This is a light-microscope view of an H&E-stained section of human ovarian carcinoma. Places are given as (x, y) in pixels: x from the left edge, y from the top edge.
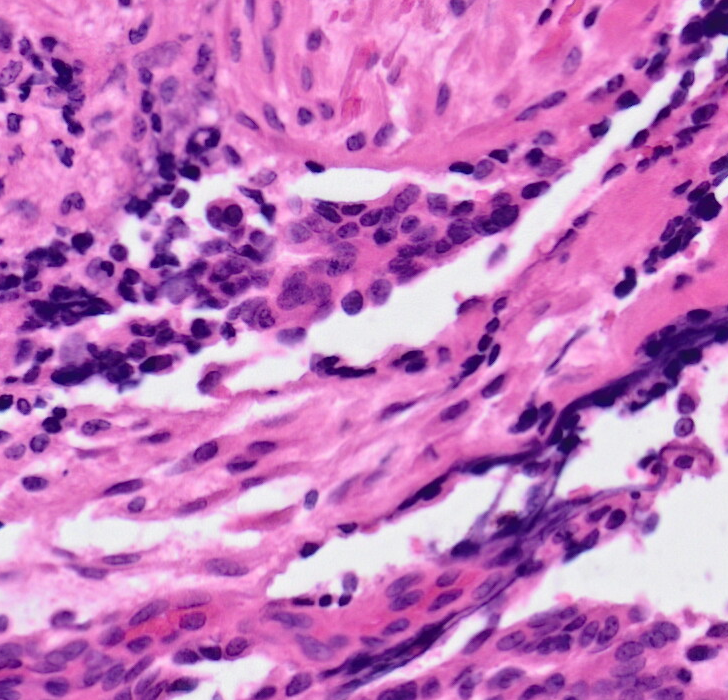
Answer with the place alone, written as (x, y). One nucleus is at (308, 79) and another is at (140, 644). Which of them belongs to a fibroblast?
(308, 79)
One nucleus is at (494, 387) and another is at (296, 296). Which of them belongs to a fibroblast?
(494, 387)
